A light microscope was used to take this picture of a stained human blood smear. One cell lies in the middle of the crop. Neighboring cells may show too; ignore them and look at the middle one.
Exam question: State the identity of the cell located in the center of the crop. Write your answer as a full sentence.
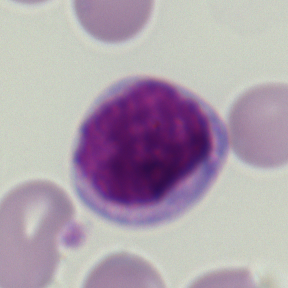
Among the cells in view, the one in the middle is a large granular lymphocyte.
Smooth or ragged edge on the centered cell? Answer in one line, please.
Smooth outline, no projections: that is the whole story of its edge.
